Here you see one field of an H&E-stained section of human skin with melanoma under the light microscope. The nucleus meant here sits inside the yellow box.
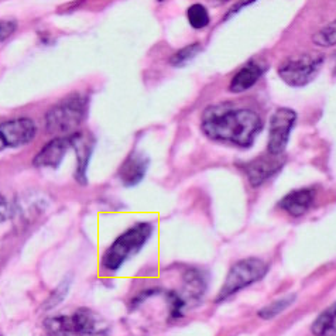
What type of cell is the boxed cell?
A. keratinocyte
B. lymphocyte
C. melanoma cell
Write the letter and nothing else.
C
